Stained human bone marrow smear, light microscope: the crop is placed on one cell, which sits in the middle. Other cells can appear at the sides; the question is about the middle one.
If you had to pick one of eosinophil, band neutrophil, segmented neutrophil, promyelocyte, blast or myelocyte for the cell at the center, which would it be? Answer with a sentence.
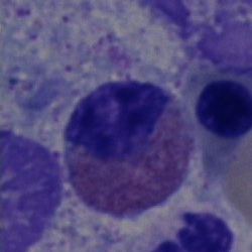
The cell sitting right in the middle is an eosinophil.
